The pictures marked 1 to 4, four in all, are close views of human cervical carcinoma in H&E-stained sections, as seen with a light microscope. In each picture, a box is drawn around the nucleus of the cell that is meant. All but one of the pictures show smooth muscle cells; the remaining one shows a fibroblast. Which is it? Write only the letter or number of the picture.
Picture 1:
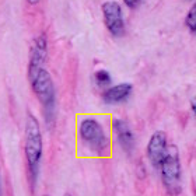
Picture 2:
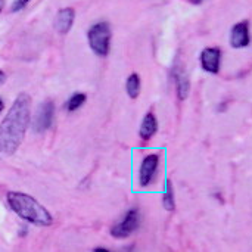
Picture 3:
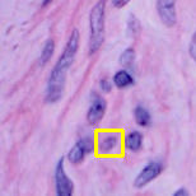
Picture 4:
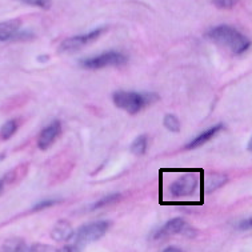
2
